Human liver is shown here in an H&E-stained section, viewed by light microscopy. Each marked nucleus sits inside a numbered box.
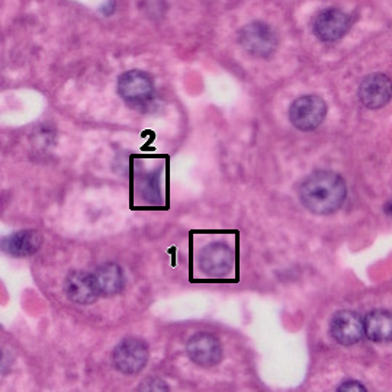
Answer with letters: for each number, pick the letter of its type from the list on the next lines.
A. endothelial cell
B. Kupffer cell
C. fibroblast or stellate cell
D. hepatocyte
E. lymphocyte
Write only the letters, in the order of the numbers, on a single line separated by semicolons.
D; A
